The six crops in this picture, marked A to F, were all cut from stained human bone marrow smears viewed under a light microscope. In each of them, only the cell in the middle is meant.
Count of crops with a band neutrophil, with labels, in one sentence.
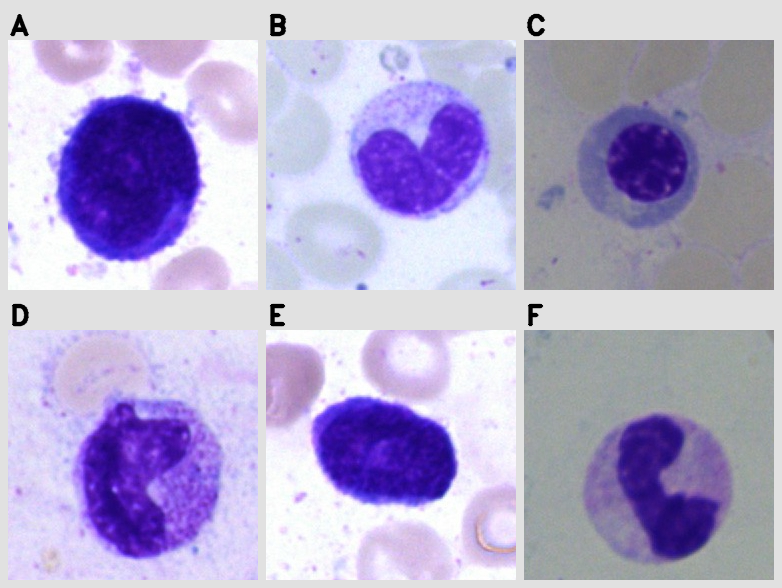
Crops B, D and F depict band neutrophils, and these three crops are the only ones that do.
